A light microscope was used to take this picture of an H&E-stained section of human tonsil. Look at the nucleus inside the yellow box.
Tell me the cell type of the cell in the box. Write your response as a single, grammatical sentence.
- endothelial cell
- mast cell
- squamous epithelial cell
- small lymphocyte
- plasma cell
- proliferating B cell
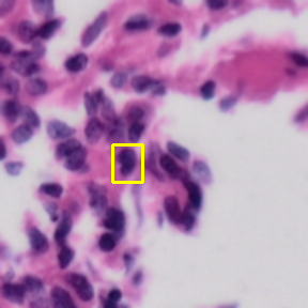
Just put down that the cell in the box is a proliferating B cell.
